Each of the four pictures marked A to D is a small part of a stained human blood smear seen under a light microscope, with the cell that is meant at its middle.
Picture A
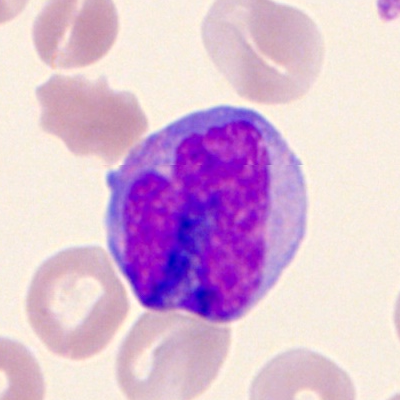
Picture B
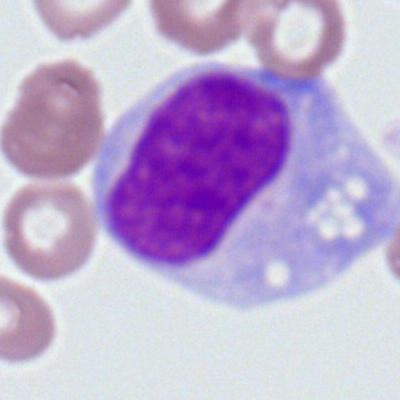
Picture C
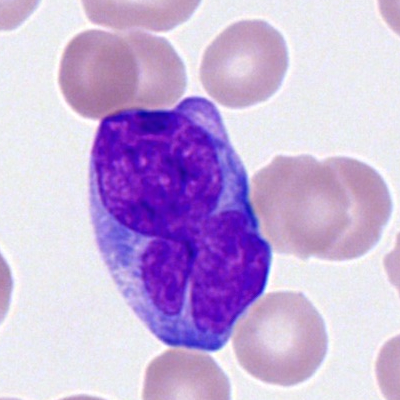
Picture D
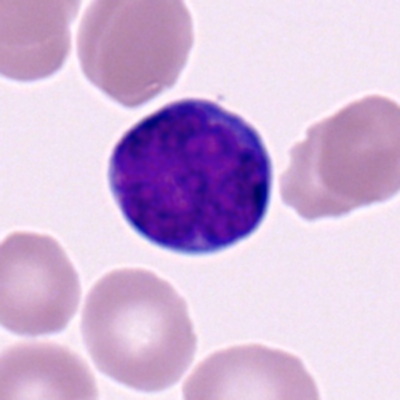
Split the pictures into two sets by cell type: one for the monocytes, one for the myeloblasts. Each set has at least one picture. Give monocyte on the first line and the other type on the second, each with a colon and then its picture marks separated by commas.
monocyte: B
myeloblast: A, C, D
